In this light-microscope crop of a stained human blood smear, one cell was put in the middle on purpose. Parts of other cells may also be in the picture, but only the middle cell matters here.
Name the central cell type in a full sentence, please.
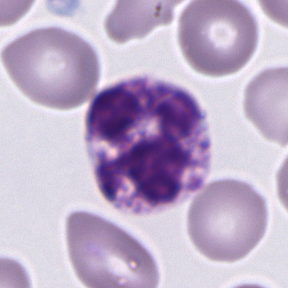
The middle cell in this particular crop is a basophil.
